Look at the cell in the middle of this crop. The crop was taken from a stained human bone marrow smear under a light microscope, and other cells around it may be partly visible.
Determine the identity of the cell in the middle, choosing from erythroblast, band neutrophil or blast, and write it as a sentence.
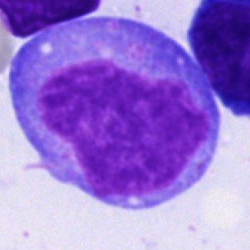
The middle of this crop holds a blast.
